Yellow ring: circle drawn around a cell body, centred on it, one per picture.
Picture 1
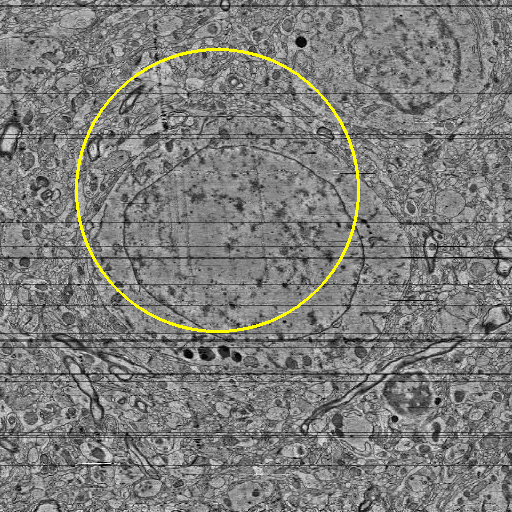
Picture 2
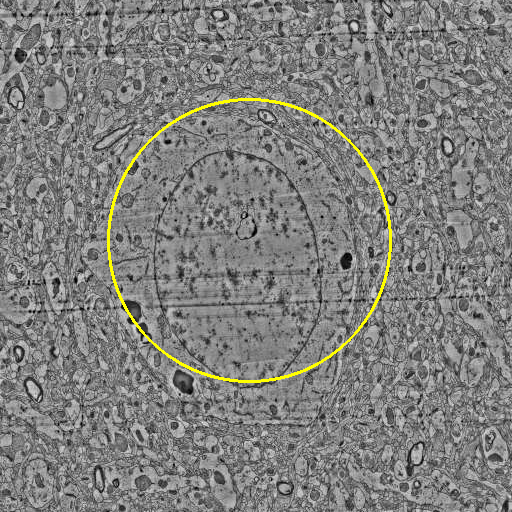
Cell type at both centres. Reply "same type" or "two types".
same type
